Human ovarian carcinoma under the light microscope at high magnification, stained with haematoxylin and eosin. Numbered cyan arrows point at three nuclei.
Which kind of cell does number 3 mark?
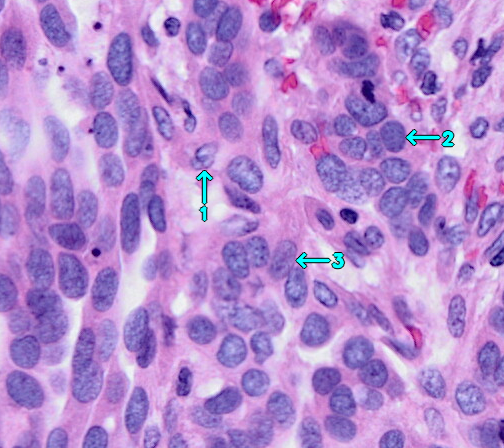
carcinoma cell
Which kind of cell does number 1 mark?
fibroblast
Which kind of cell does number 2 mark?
carcinoma cell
